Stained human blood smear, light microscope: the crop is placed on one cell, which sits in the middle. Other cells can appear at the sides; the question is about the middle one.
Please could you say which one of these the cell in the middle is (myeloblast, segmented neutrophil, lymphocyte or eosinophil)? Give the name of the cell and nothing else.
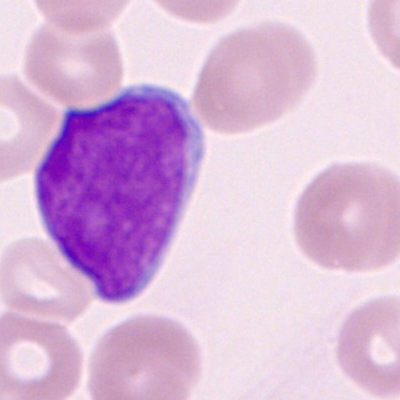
myeloblast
